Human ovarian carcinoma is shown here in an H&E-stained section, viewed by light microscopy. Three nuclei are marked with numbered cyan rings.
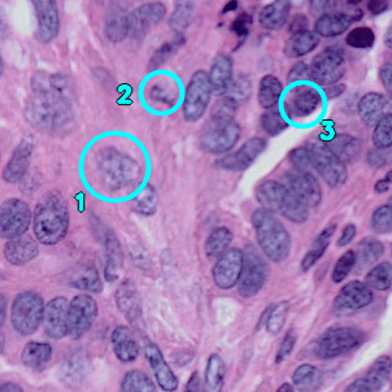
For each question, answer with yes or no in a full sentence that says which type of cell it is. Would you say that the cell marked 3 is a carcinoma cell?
Yes, the marked cell numbered 3 is a carcinoma cell.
